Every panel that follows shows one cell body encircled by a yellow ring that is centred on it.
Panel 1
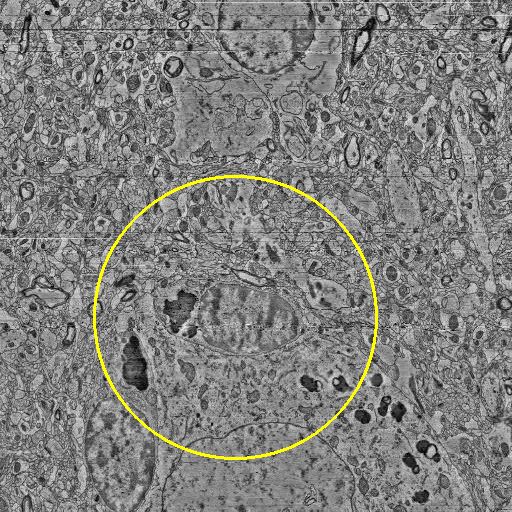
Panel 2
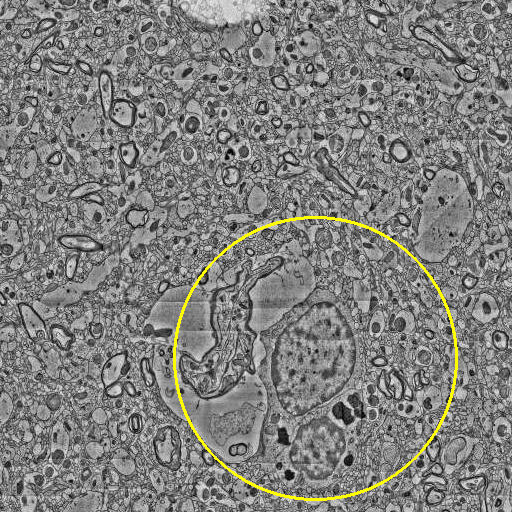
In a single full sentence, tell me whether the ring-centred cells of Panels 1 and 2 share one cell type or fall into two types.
In Panel 1 and Panel 2, the cells at the ring centres share one cell type.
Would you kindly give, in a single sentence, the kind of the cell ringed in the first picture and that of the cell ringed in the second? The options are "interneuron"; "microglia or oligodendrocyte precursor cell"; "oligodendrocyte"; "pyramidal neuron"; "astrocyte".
Each cell, in the first picture and the second, is an oligodendrocyte.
